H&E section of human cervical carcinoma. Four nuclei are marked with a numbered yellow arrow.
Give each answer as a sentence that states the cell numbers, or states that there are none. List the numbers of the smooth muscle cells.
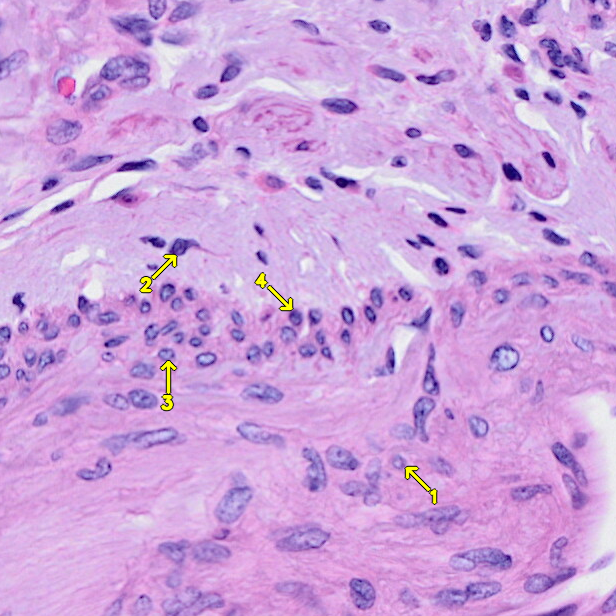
In this section, the cells labelled 1, 3 and 4 are smooth muscle cells.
